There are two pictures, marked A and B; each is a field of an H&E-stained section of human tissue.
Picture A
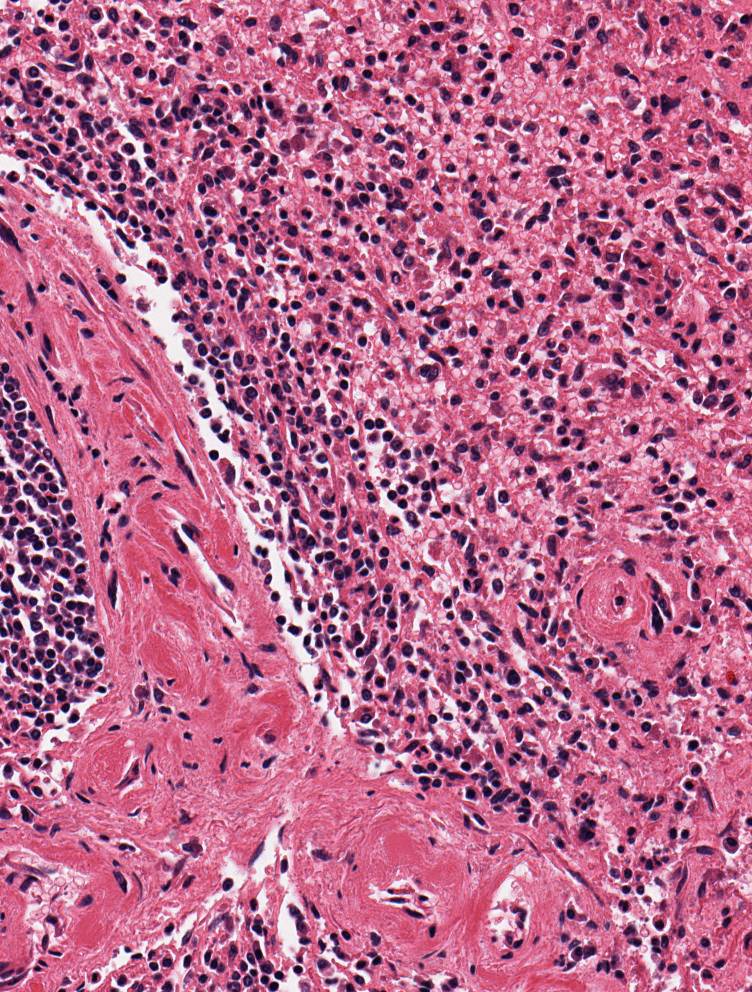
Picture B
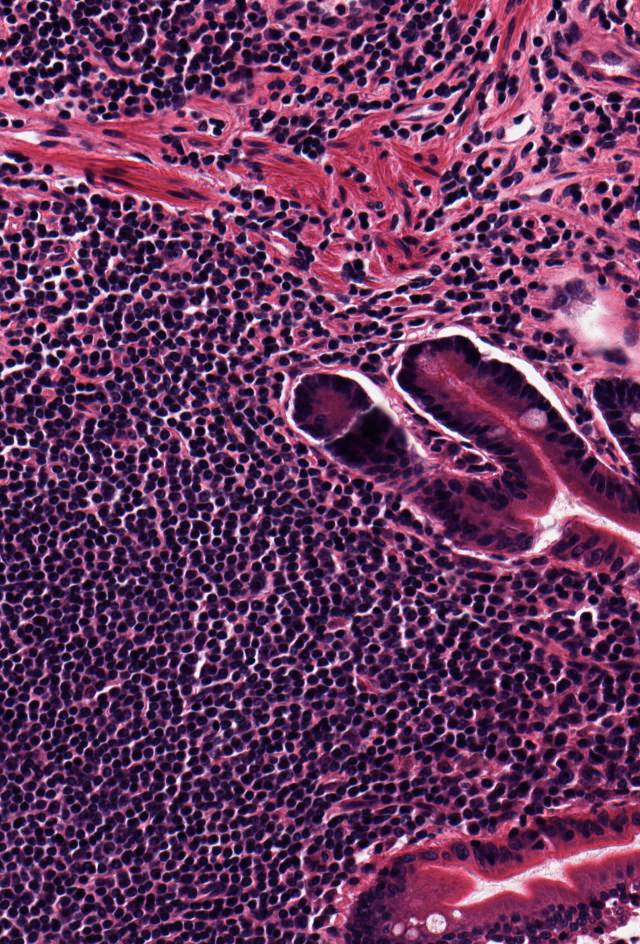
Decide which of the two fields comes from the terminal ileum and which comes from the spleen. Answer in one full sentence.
Picture A comes from the spleen; picture B comes from the terminal ileum.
